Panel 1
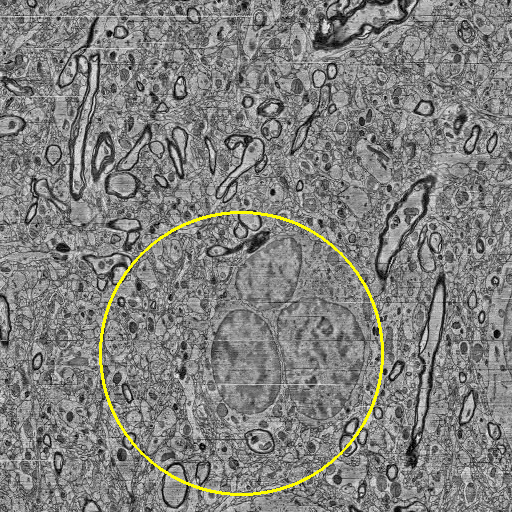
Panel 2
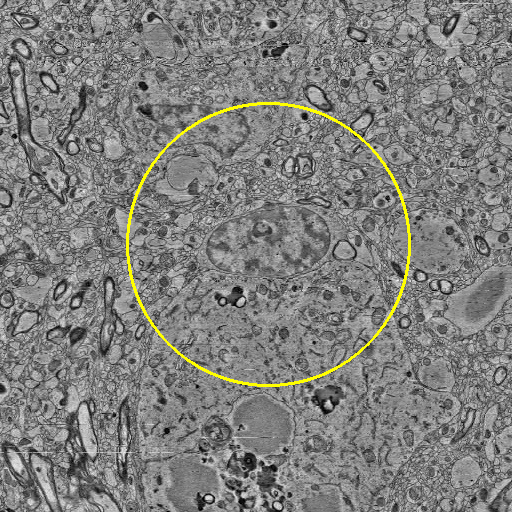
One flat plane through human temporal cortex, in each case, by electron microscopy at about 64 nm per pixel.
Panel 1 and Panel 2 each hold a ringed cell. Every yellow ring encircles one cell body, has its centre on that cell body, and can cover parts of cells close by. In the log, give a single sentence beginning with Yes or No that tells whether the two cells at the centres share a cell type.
Yes, in Panel 1 and Panel 2 the centred cells share a cell type.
